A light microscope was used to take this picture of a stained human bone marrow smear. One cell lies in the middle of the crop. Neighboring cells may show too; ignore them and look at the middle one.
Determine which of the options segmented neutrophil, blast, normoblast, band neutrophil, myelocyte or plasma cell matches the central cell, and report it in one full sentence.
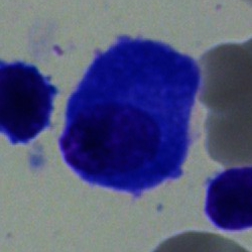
Answering briefly, the cell in the middle is a plasma cell.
